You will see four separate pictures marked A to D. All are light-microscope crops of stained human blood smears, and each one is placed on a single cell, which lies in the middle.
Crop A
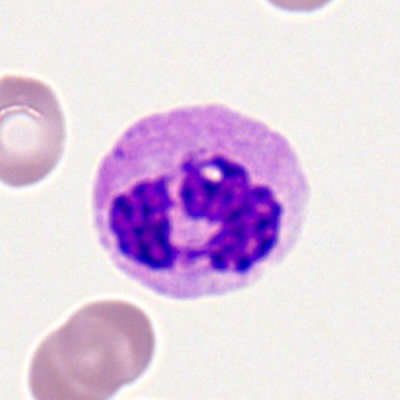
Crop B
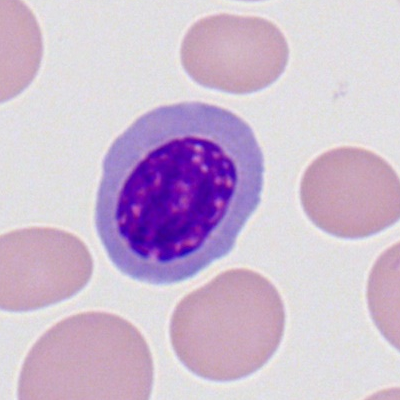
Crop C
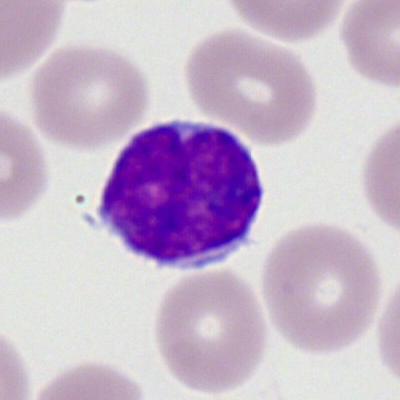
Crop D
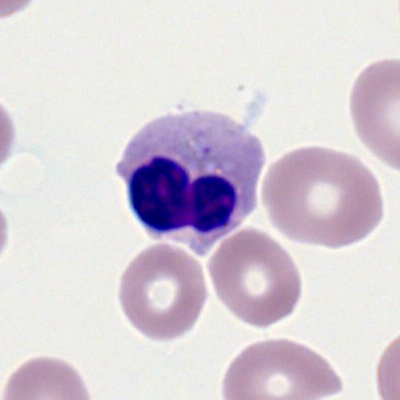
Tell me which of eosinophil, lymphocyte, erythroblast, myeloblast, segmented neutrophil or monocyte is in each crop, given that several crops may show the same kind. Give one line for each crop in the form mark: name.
A: segmented neutrophil
B: erythroblast
C: lymphocyte
D: erythroblast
